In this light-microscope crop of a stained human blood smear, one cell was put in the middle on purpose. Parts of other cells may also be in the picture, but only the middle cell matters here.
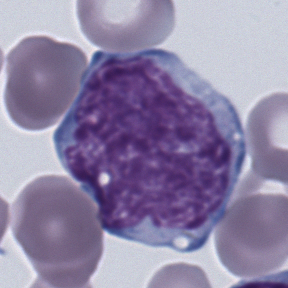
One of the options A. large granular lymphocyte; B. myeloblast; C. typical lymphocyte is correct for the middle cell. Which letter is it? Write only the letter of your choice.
B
